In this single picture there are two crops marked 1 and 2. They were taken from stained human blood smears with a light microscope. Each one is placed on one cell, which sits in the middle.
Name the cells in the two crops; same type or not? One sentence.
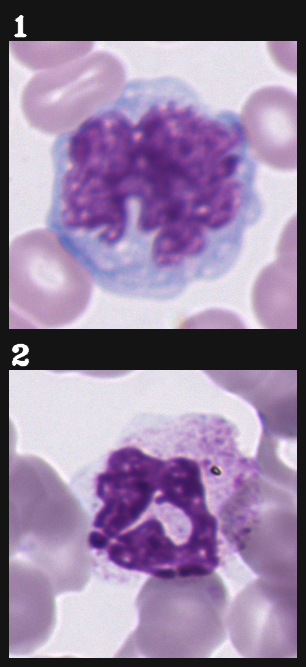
No, crop 1 captures a monocyte; meanwhile crop 2 captures a neutrophil.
